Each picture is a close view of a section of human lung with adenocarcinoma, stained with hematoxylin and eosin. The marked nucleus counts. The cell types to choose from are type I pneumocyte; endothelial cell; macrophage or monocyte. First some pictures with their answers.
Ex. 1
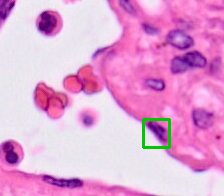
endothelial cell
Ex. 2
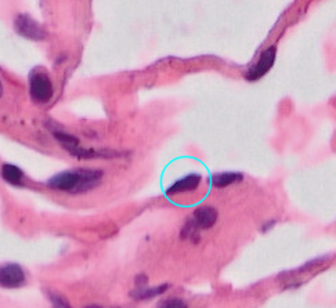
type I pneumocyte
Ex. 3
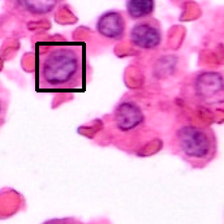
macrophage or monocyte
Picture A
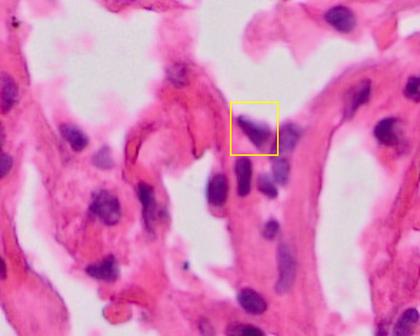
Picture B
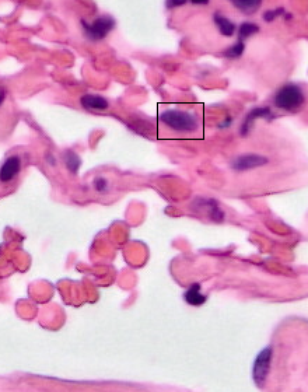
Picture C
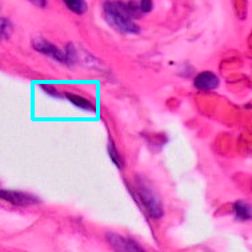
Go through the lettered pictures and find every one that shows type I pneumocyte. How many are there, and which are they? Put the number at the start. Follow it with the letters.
Count: 2 (A, B)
